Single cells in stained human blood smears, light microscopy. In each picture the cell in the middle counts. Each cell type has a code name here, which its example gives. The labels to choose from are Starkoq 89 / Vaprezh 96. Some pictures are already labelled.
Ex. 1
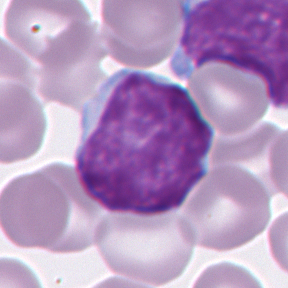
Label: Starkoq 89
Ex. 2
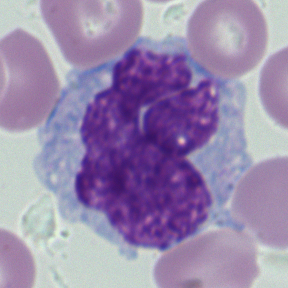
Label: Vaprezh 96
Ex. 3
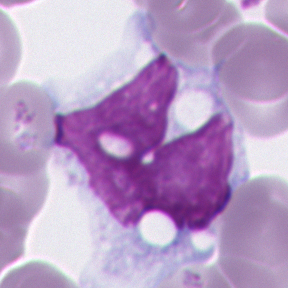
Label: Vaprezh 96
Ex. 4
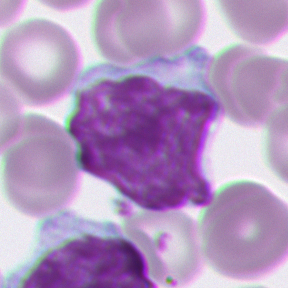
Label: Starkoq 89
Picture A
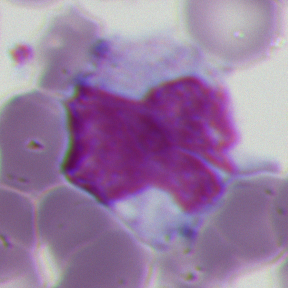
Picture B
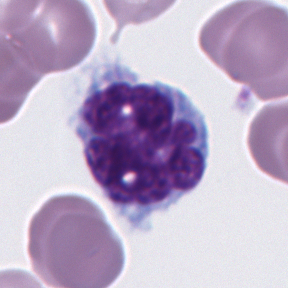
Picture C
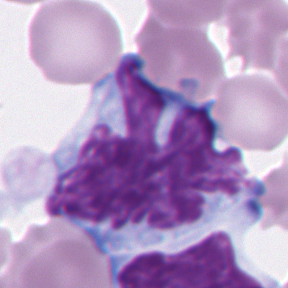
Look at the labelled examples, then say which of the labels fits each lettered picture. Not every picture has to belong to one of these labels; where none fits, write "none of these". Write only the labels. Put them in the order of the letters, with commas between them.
Vaprezh 96, Vaprezh 96, Vaprezh 96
